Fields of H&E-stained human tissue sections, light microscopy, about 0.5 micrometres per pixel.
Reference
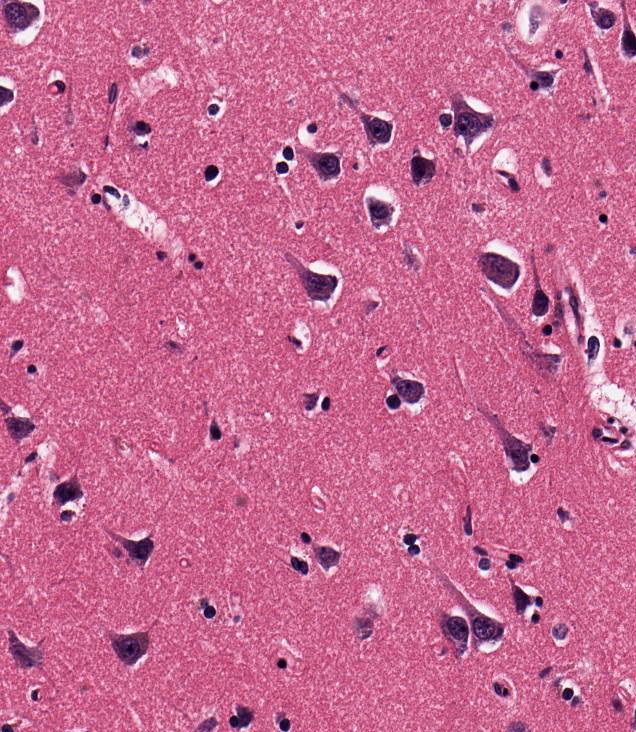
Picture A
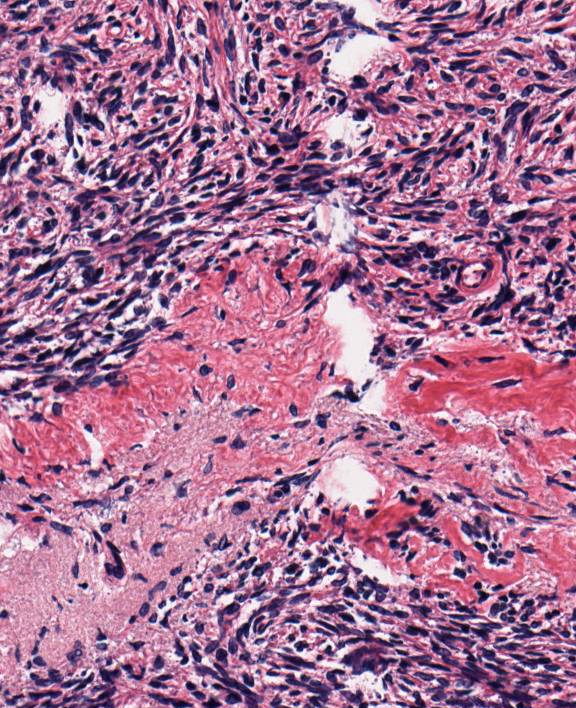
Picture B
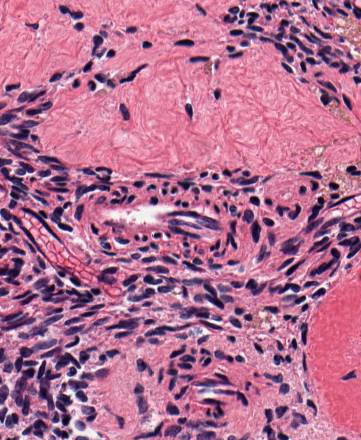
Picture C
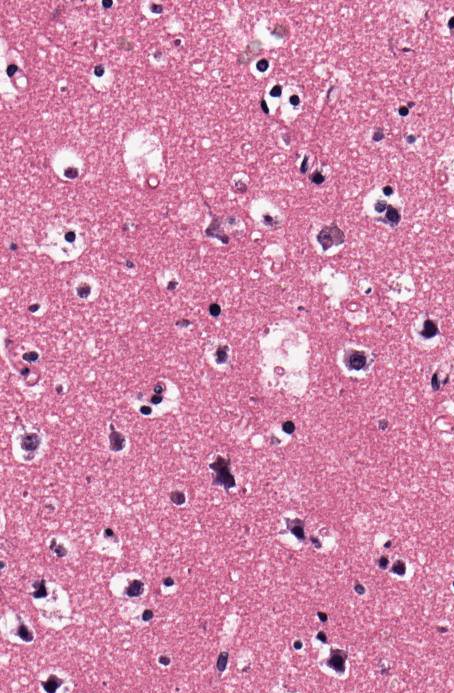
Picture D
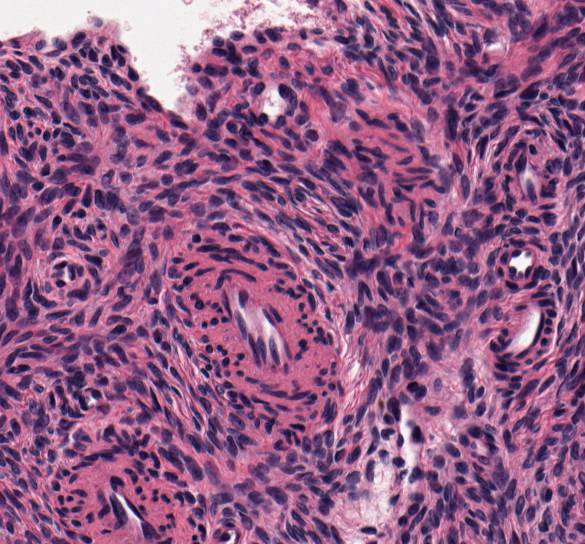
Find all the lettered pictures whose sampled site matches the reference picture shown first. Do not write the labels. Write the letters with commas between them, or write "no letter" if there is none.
C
